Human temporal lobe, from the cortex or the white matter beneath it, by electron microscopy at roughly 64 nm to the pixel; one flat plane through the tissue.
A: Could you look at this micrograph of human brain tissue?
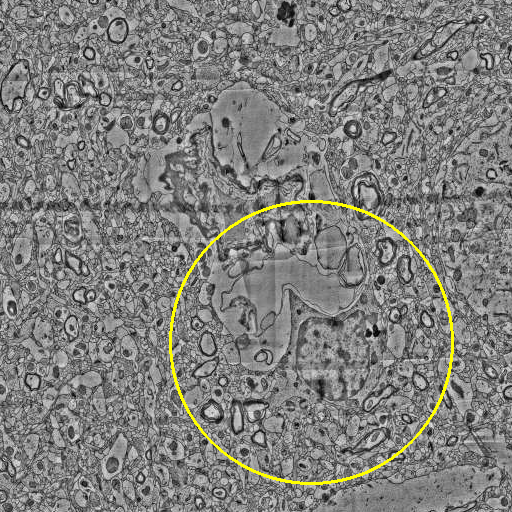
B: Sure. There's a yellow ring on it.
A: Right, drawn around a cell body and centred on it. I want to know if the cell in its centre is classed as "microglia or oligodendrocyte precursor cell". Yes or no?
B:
no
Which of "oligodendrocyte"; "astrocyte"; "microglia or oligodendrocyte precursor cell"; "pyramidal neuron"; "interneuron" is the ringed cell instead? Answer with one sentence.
In this picture, the ring is centred on an oligodendrocyte.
